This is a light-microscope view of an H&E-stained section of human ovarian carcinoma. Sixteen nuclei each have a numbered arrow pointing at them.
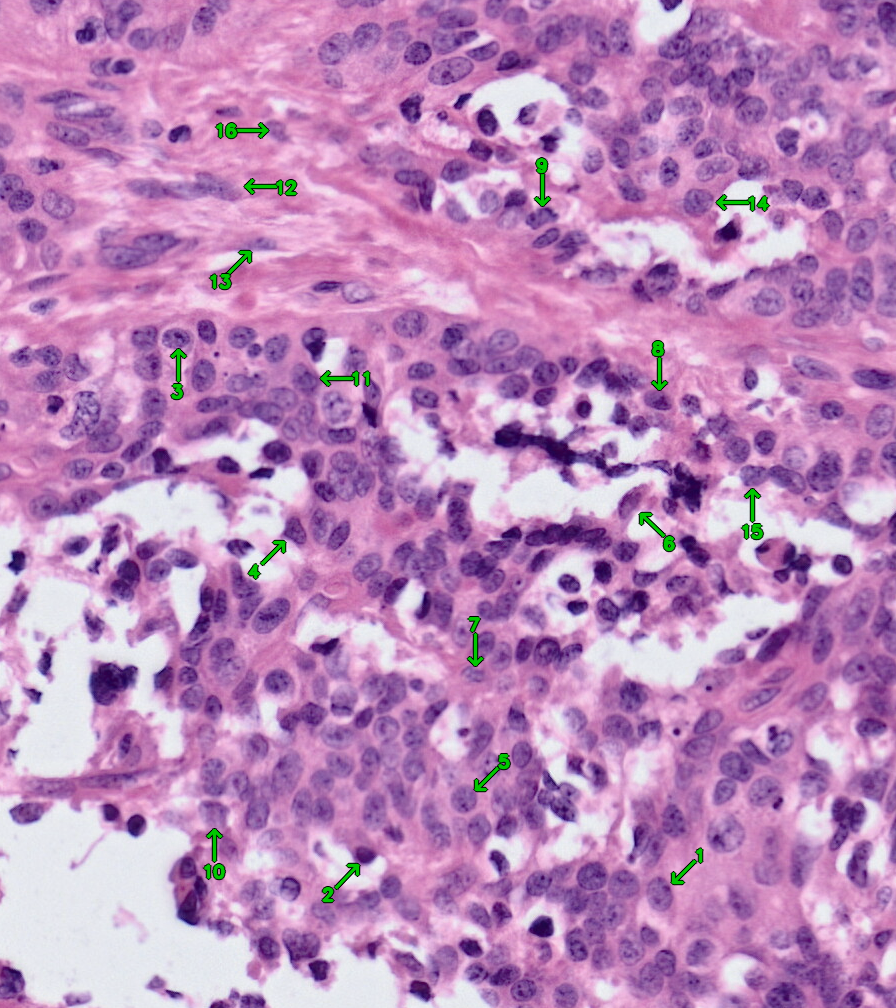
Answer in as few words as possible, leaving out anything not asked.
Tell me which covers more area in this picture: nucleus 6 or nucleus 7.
6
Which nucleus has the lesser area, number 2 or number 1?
2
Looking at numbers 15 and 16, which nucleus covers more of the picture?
15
